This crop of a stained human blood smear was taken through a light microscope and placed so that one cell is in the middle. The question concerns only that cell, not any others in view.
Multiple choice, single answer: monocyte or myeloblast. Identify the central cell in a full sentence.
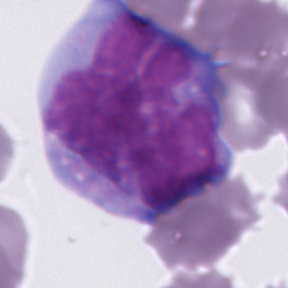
In the center of this field lies a myeloblast.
